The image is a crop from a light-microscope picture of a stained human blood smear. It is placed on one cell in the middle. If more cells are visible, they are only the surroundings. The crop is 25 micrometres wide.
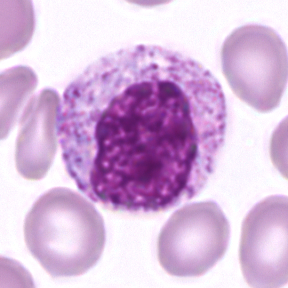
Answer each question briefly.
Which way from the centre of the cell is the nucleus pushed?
bottom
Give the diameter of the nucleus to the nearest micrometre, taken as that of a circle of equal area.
10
